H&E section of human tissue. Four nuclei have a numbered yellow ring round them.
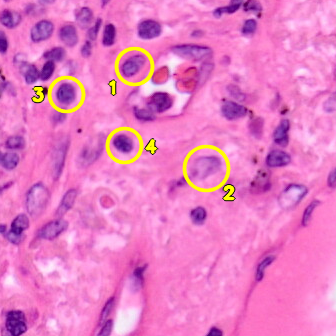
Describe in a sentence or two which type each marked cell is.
Cell 1 is a mast cell. Cell 2 is a fibroblast. Cells 3 and 4 are lymphocytes.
